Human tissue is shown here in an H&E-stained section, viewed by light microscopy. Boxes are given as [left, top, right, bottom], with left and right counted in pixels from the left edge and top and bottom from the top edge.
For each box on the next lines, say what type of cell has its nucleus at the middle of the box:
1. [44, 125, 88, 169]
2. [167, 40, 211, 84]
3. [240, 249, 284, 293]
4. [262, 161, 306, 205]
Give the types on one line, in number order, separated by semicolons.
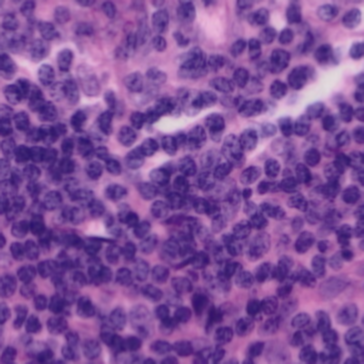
small lymphocyte; proliferating B cell; small lymphocyte; small lymphocyte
